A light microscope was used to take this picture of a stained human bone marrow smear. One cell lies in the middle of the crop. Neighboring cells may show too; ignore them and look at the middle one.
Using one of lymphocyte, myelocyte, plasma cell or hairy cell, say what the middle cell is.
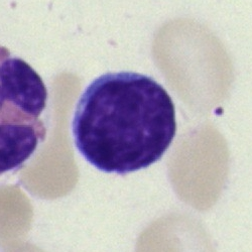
lymphocyte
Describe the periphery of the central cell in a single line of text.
The membrane contour is even and smooth, with nothing projecting from it.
